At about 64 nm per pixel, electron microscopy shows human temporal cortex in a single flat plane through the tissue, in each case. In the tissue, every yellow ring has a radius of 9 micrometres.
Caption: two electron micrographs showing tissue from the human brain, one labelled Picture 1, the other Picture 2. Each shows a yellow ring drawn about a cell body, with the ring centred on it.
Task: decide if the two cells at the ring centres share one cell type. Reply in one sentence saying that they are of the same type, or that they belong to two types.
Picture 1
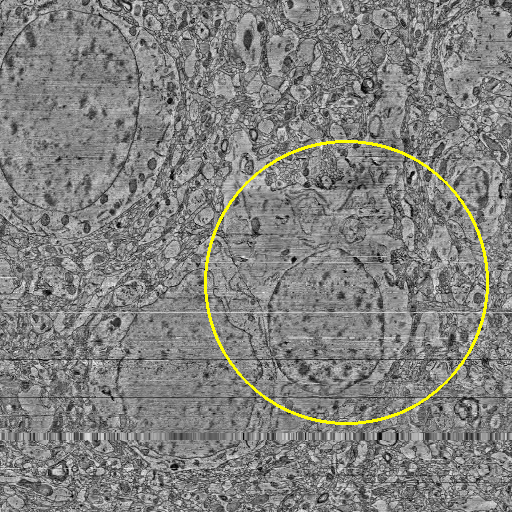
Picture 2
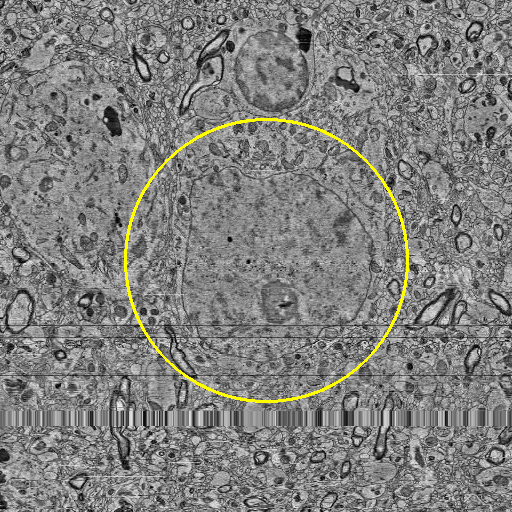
The cells at the ring centres in Picture 1 and Picture 2 belong to two types.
